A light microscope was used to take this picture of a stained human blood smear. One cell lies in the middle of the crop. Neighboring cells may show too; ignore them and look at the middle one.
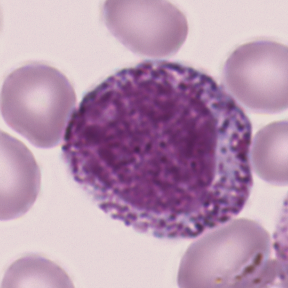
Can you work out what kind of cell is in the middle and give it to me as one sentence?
The cell nearest the centre of this crop is a myelocyte.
